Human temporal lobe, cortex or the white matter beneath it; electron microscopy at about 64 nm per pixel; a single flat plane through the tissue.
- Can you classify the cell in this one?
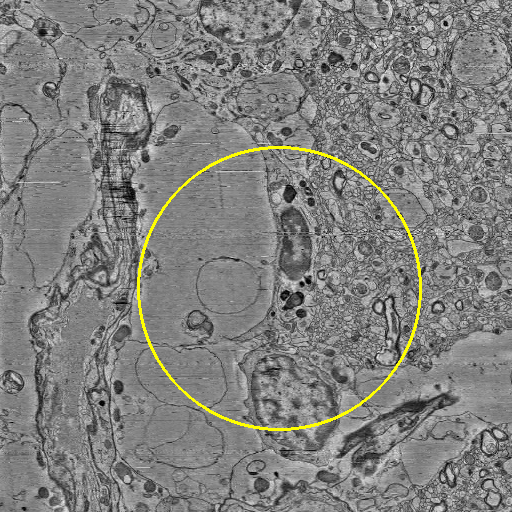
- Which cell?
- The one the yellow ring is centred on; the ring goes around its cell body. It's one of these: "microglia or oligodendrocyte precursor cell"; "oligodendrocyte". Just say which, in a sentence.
The cell body in the ring belongs to a microglial cell or oligodendrocyte precursor cell.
